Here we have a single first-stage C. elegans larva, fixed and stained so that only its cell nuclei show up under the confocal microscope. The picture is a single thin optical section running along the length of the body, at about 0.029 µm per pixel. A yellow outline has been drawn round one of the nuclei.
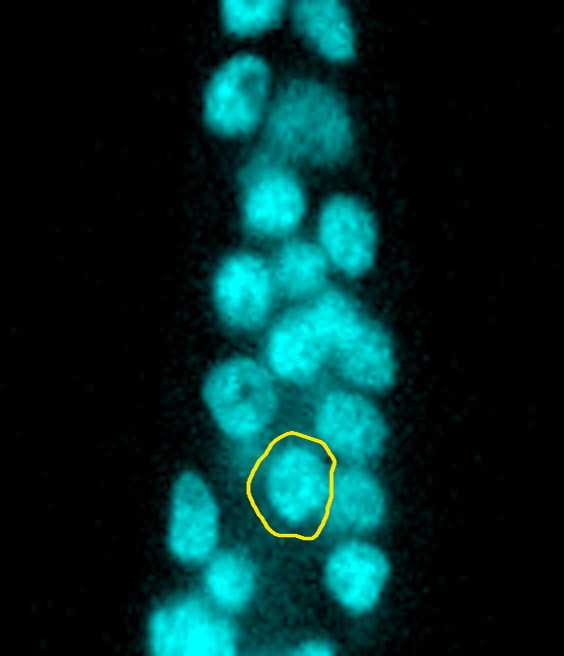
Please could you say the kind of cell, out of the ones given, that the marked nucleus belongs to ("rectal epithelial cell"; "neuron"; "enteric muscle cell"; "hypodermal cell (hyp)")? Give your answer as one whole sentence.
The marked cell is a rectal epithelial cell.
